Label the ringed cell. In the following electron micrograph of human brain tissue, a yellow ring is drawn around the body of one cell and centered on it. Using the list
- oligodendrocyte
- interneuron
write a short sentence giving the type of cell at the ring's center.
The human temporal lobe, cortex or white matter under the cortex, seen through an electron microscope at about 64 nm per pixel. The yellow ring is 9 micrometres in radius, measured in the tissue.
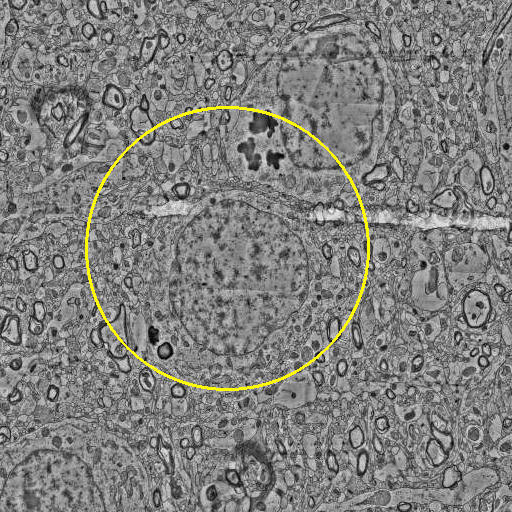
The cell body at the ring's center is that of an interneuron.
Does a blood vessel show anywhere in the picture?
No, the picture includes no blood vessel.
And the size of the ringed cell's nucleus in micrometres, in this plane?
In this plane, roughly 10 micrometres across.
